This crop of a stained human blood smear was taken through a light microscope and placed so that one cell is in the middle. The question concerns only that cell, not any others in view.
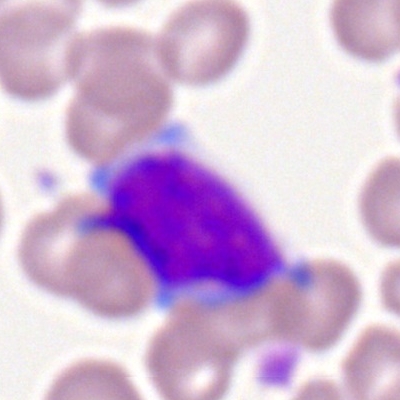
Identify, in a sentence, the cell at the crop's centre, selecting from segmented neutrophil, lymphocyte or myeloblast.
What the crop centres on is a lymphocyte.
